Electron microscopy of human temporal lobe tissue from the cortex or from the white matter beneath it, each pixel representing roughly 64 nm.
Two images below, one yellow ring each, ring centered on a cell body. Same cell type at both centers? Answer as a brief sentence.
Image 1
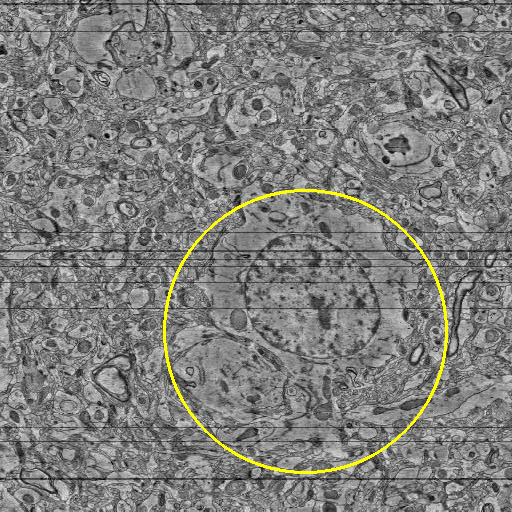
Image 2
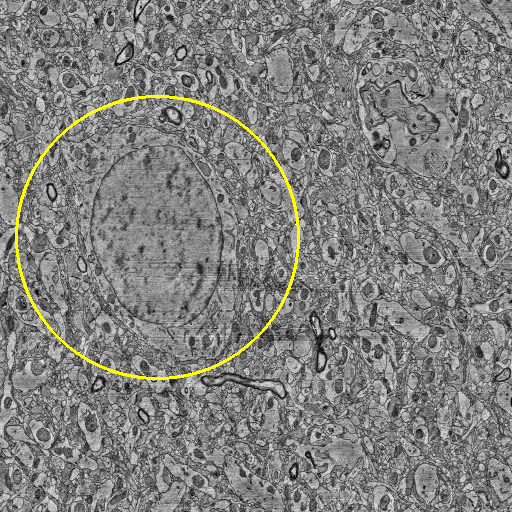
No, the cells are of two separate types.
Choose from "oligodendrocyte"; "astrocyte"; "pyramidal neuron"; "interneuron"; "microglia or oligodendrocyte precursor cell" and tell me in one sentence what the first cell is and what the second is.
What the first ring is centred on is an astrocyte; what the second ring is centred on is a pyramidal neuron.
